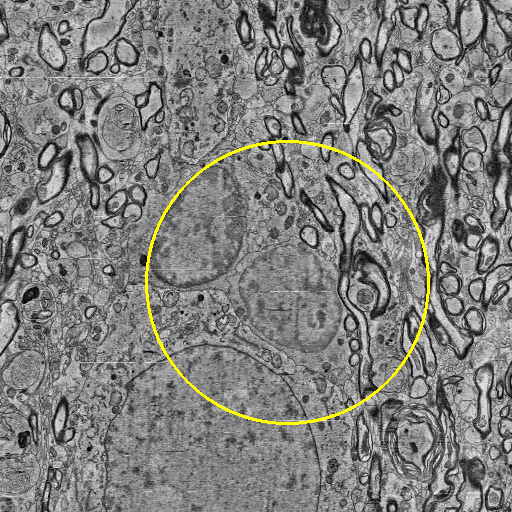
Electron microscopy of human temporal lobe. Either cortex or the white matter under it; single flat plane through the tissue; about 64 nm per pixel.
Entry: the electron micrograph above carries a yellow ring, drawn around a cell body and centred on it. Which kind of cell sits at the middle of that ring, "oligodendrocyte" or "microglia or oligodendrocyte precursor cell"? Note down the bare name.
oligodendrocyte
